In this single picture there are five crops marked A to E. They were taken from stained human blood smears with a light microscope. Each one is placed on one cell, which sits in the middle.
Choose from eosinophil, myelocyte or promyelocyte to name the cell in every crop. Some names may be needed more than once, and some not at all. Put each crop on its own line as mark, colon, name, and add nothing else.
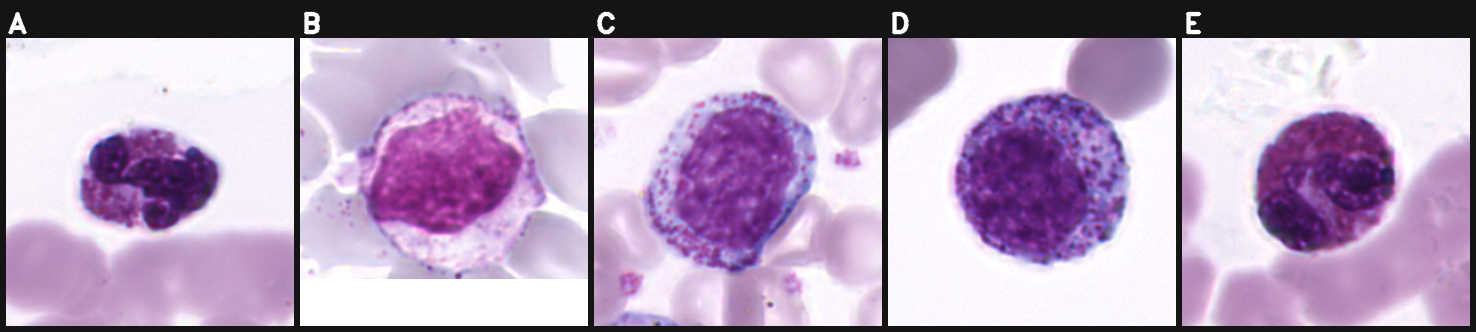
A: eosinophil
B: myelocyte
C: promyelocyte
D: promyelocyte
E: eosinophil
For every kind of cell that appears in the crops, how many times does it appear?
eosinophil: 2
promyelocyte: 2
myelocyte: 1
